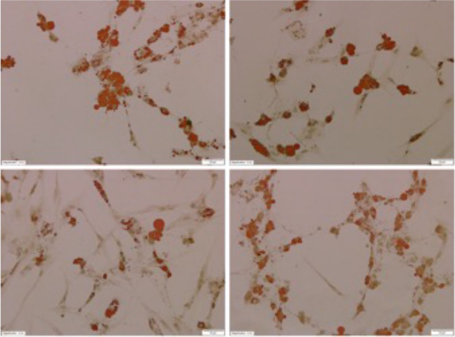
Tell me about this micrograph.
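Many cells have become rounded or plump and their cytoplasm is filled with bright red-orange droplets, some clustered into grape-like groups. Between them lie paler, elongated cells with thin, branching processes that take up little of the red stain. The amount of red varies from field to field, with some fields crowded with droplet-laden cells and others showing more of the slender, unstained cells.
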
